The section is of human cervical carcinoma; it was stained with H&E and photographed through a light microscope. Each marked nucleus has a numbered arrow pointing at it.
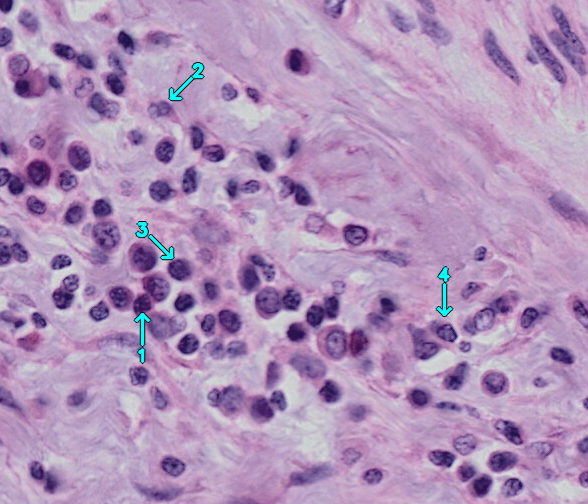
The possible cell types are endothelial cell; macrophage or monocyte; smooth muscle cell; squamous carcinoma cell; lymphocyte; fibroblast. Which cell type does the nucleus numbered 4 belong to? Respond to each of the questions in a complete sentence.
Number 4 among the marked cells is a lymphocyte.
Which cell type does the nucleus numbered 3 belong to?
Denoted by the label 3 in the section is a lymphocyte.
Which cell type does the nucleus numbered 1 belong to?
Cell 1 in the field of view is a lymphocyte.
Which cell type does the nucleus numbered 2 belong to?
The cell referenced by the number 2 is a macrophage or monocyte in this field.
